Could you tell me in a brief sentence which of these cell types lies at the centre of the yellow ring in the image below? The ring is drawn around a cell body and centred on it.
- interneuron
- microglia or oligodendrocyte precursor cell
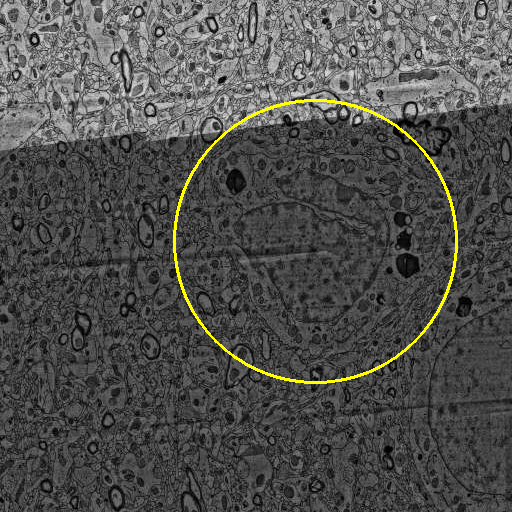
The cell centred in the ring is an interneuron.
